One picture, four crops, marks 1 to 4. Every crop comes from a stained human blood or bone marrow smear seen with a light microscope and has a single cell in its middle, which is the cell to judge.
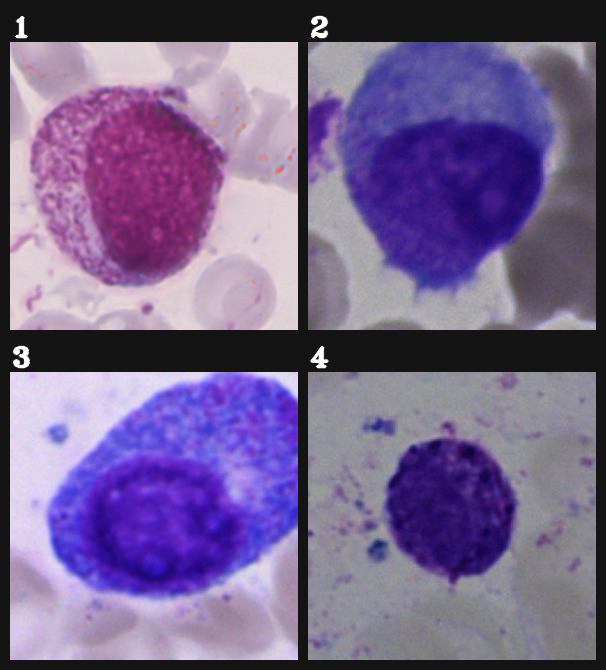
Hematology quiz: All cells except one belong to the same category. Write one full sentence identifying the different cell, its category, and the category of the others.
All the crops show promyelocytes except crop 4, which shows a basophil.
